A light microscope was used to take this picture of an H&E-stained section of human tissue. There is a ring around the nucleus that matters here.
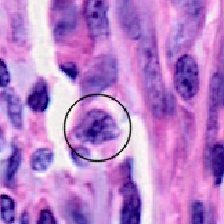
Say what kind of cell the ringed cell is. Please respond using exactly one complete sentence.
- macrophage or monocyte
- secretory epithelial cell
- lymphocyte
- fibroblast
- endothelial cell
In this field of tissue, the ringed cell is a macrophage or monocyte.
